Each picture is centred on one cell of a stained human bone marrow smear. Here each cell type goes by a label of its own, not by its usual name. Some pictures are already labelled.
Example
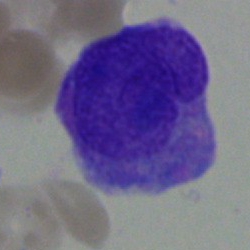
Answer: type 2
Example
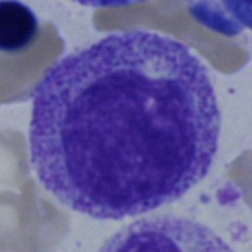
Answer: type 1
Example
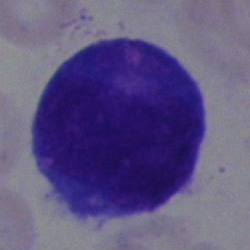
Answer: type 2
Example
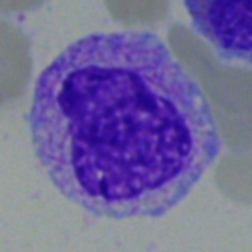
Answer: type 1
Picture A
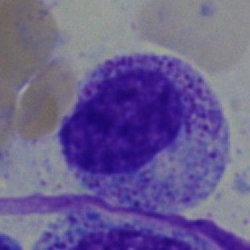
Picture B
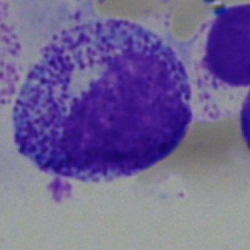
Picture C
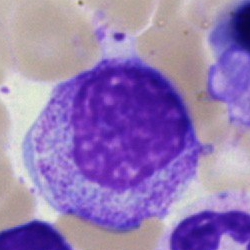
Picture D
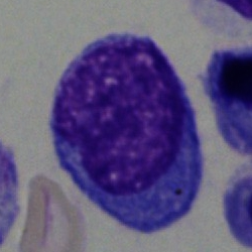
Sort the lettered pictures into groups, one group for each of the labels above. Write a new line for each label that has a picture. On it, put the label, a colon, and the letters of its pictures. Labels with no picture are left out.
type 2: D
type 1: A, B, C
